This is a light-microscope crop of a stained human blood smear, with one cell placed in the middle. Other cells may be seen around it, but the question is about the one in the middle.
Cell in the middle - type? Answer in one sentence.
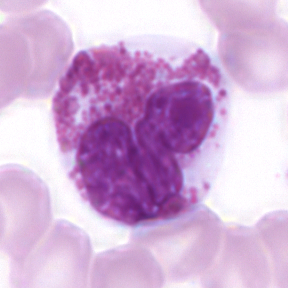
The cell marked by its central position in the crop is an eosinophil.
